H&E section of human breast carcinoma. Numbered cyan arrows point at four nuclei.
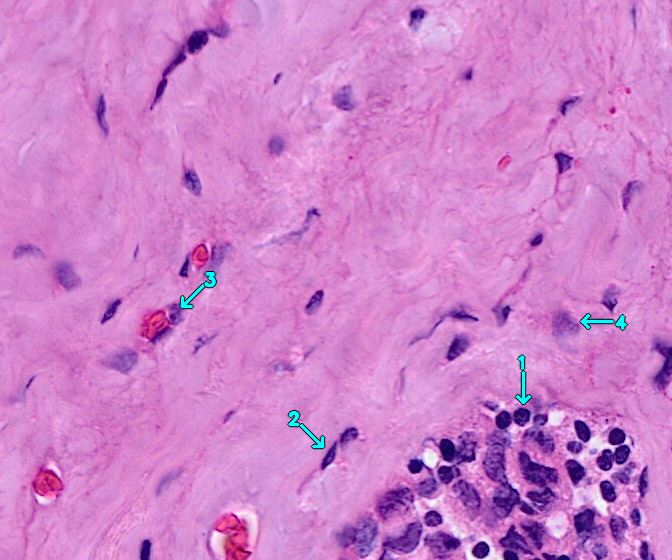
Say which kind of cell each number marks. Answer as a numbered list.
1. lymphocyte
2. fibroblast
3. endothelial cell
4. fibroblast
